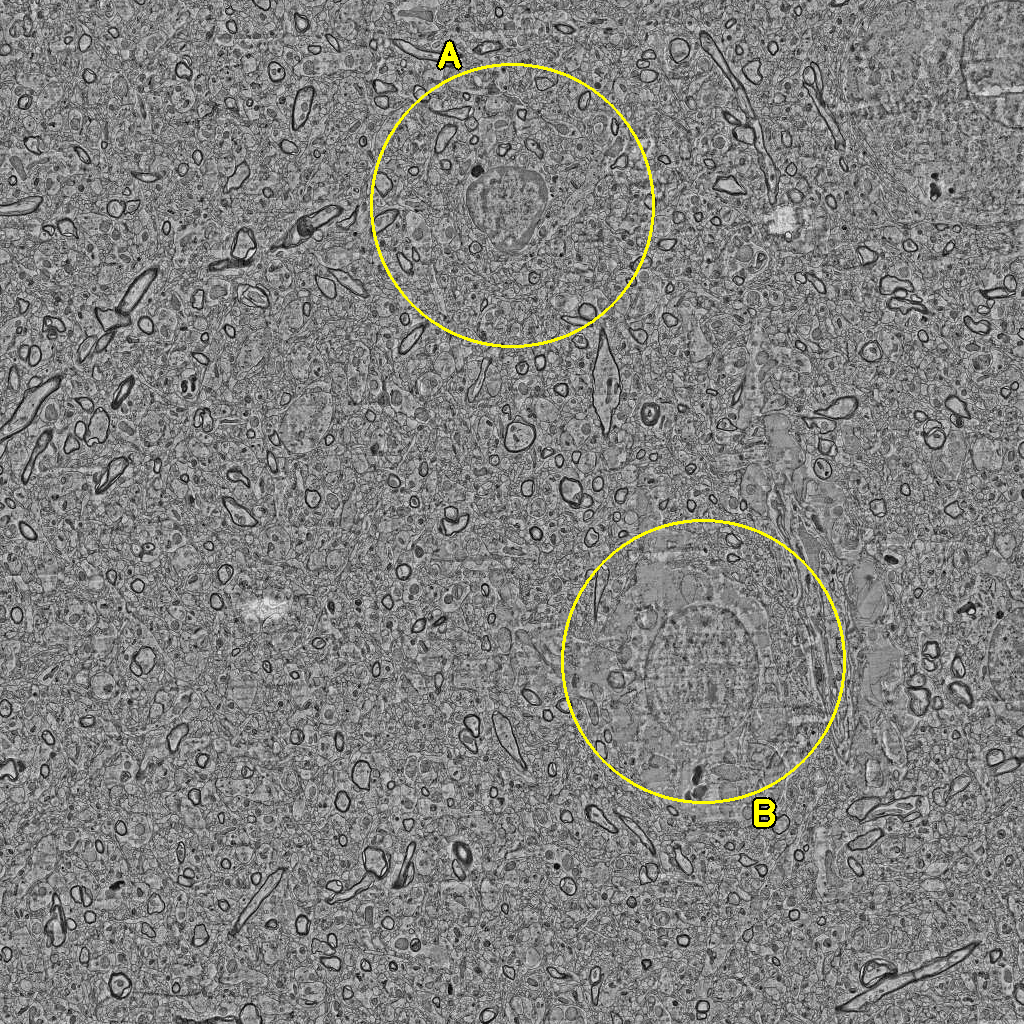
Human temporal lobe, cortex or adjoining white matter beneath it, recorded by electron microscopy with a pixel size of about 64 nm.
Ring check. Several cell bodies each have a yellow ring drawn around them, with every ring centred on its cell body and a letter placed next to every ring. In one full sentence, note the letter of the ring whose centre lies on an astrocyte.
At the centre of ring B lies the cell asked for in this check.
